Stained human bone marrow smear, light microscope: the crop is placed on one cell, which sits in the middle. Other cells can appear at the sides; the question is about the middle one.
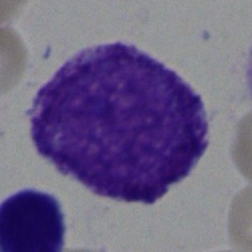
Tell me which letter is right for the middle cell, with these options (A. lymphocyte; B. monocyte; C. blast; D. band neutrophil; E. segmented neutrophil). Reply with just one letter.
C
